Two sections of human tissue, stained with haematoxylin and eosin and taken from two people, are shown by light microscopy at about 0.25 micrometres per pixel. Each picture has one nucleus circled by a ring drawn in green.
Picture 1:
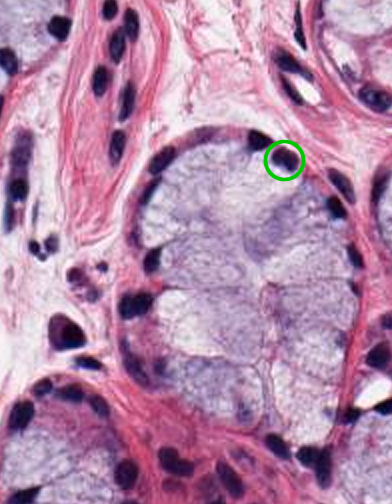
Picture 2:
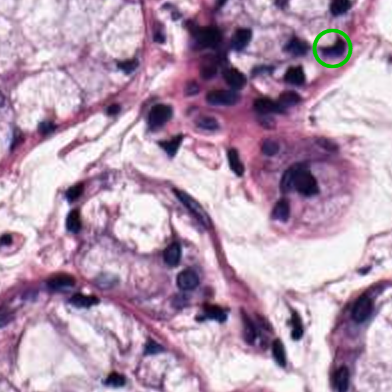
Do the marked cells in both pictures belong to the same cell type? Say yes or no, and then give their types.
Yes, both are mucous gland cells.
